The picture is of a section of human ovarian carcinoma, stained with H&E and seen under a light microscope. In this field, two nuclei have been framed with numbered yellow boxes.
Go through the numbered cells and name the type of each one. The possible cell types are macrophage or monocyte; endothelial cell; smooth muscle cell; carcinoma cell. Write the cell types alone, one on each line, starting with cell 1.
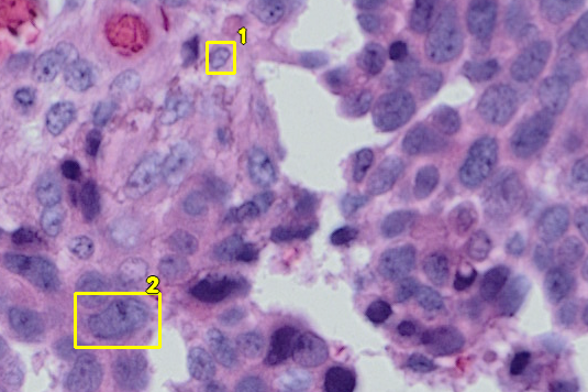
macrophage or monocyte
carcinoma cell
